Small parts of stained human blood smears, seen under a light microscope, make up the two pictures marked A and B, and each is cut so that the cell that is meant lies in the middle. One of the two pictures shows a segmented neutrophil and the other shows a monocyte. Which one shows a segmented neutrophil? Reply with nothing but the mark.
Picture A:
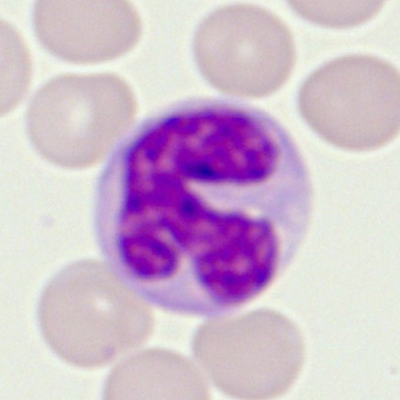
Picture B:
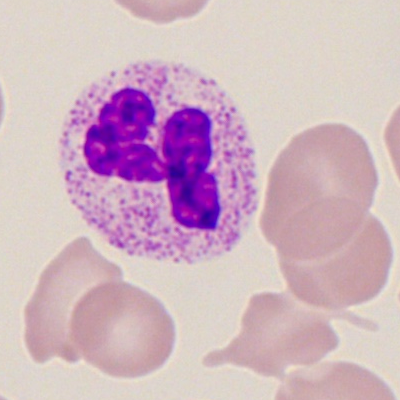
B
